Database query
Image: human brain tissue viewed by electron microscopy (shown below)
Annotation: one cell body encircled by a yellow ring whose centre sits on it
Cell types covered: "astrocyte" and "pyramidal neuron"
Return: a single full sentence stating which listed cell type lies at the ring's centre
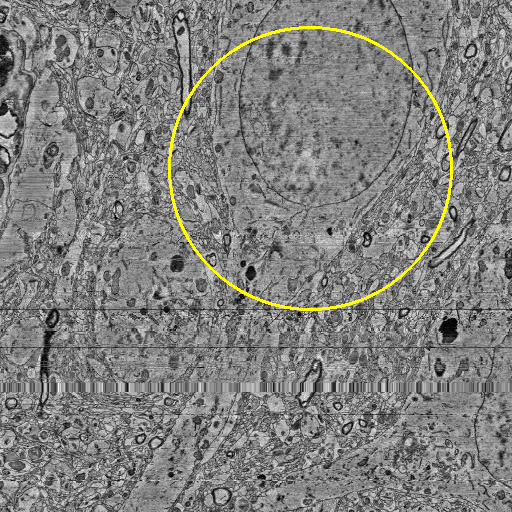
In the image, the cell lying at the ring's centre is a pyramidal neuron.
